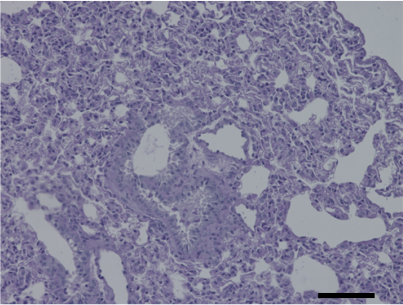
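This is a section of lung parenchyma stained in pale purple, in which the alveolar architecture is largely lost. Most air spaces are collapsed or narrowed, leaving a dense, cell-rich tissue with closely packed dark nuclei. A few irregular open spaces remain scattered across the field. Near the centre lies a vessel or small airway with a thicker wall surrounded by crowded cells. The overall appearance is much more compact than normal, thin-walled alveolar lung.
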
